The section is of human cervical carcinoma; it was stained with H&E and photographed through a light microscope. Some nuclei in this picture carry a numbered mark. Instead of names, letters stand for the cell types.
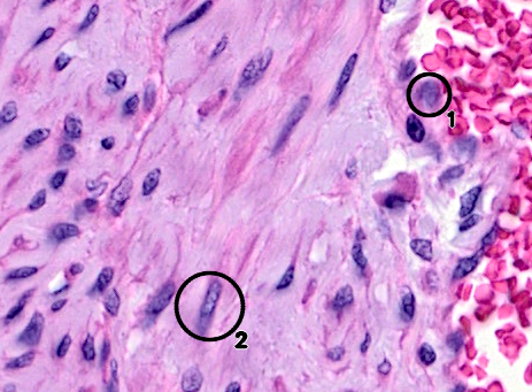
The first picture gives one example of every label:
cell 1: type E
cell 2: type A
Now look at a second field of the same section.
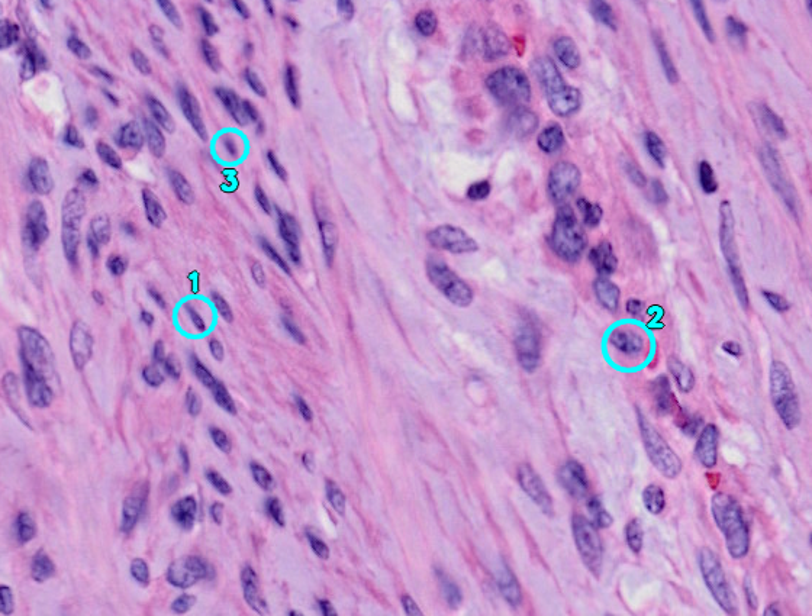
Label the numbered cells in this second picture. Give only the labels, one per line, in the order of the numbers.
type A
type E
type A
